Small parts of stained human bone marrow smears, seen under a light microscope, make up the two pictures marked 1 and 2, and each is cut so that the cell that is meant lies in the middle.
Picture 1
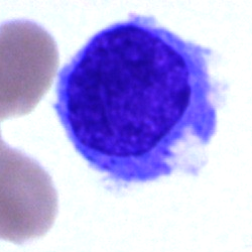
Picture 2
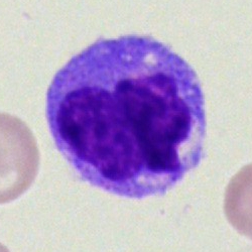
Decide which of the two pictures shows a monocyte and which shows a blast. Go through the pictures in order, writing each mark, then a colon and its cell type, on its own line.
1: blast
2: monocyte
